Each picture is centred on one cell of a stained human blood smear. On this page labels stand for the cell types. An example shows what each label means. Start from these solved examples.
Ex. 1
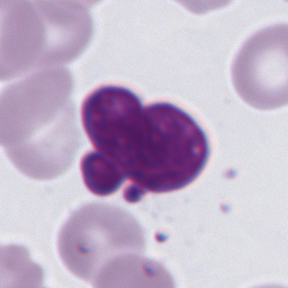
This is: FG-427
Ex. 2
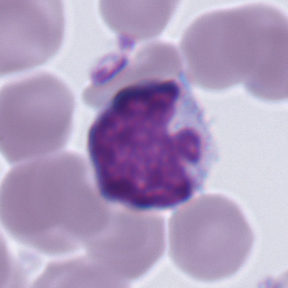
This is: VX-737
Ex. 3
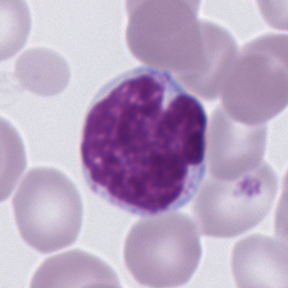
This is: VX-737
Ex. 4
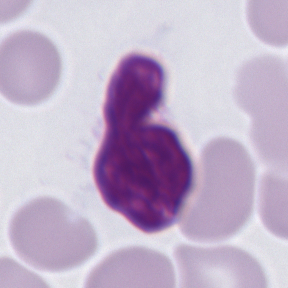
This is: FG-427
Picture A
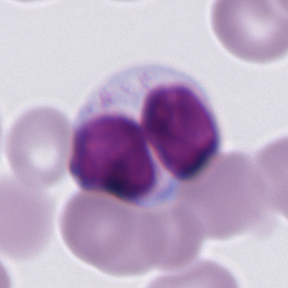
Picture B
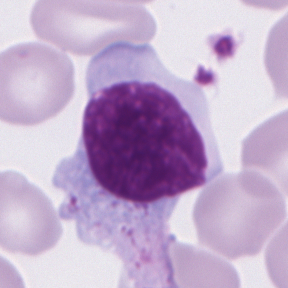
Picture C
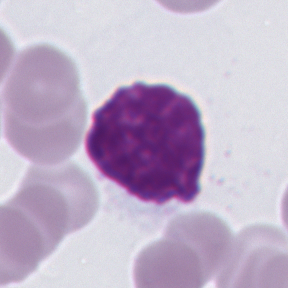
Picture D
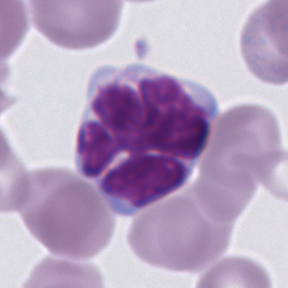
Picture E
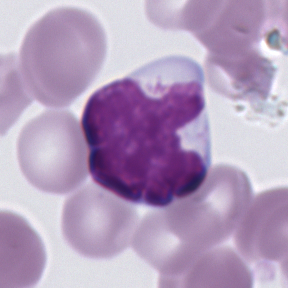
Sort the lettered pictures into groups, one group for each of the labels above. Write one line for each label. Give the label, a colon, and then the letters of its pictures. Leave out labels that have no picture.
FG-427: C
VX-737: A, B, D, E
